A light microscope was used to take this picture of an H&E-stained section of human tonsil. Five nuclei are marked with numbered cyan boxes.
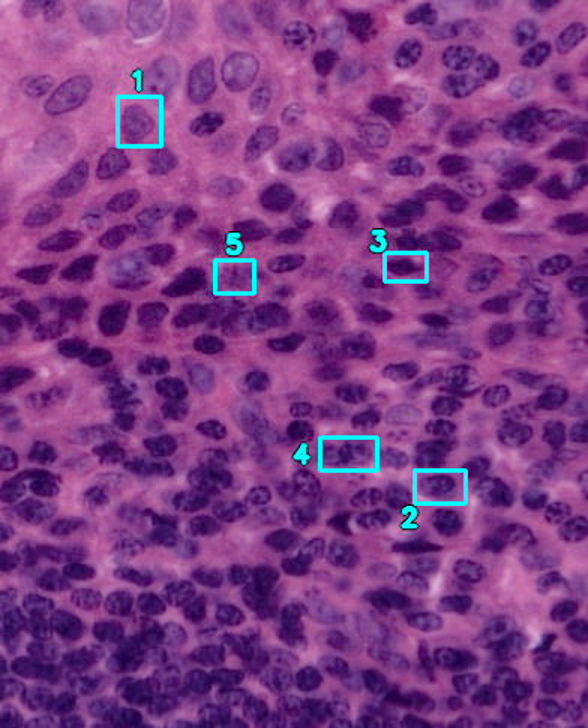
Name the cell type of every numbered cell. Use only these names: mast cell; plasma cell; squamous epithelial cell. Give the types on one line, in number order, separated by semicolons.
squamous epithelial cell; plasma cell; squamous epithelial cell; plasma cell; squamous epithelial cell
